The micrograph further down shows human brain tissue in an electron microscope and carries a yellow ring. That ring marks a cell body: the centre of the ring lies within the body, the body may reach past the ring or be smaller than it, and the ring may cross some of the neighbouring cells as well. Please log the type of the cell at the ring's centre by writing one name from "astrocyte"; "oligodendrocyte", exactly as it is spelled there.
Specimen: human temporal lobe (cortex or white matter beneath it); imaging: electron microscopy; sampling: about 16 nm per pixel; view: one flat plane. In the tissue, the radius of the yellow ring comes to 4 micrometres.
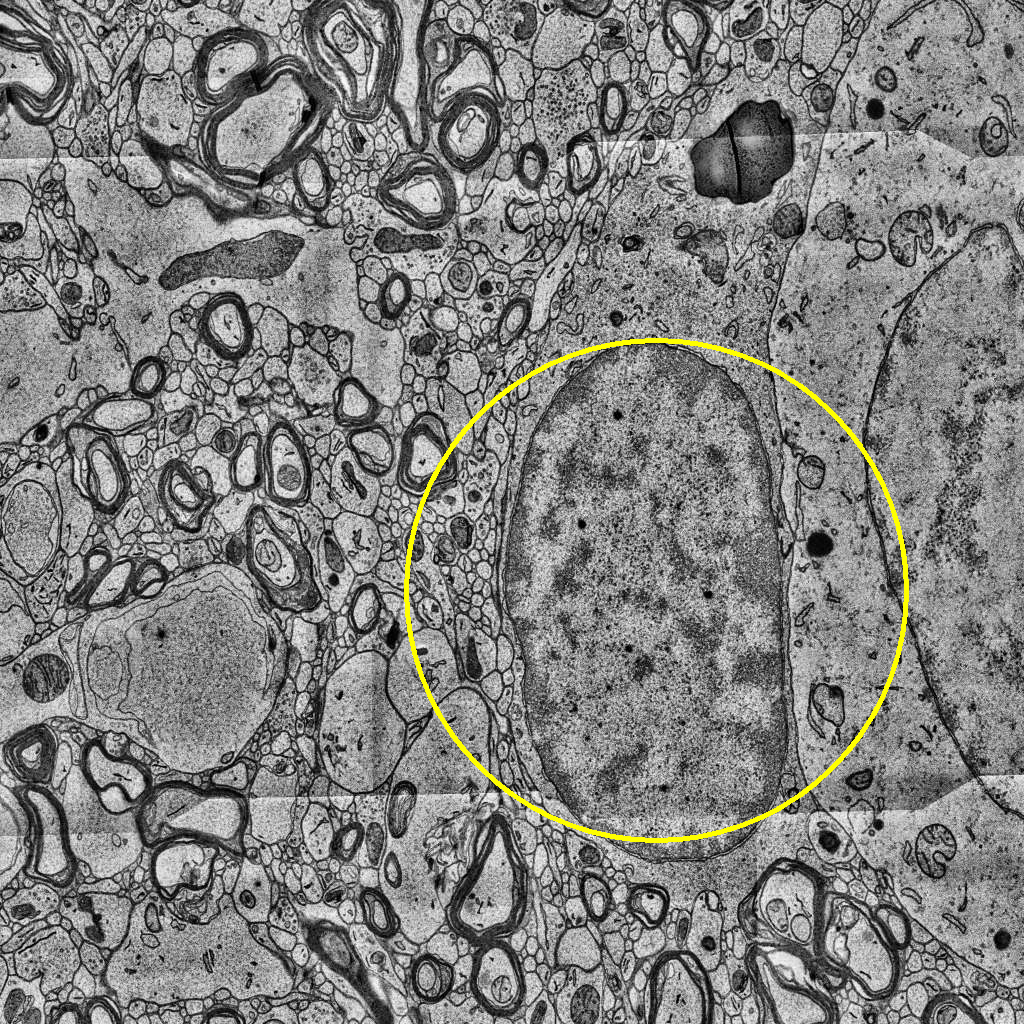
oligodendrocyte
